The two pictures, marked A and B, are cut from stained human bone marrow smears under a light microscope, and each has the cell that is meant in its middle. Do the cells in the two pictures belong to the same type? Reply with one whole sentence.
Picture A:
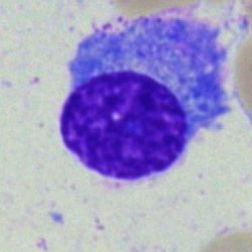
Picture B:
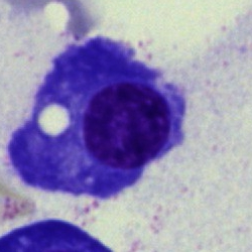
Yes, the two pictures both show plasma cells.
